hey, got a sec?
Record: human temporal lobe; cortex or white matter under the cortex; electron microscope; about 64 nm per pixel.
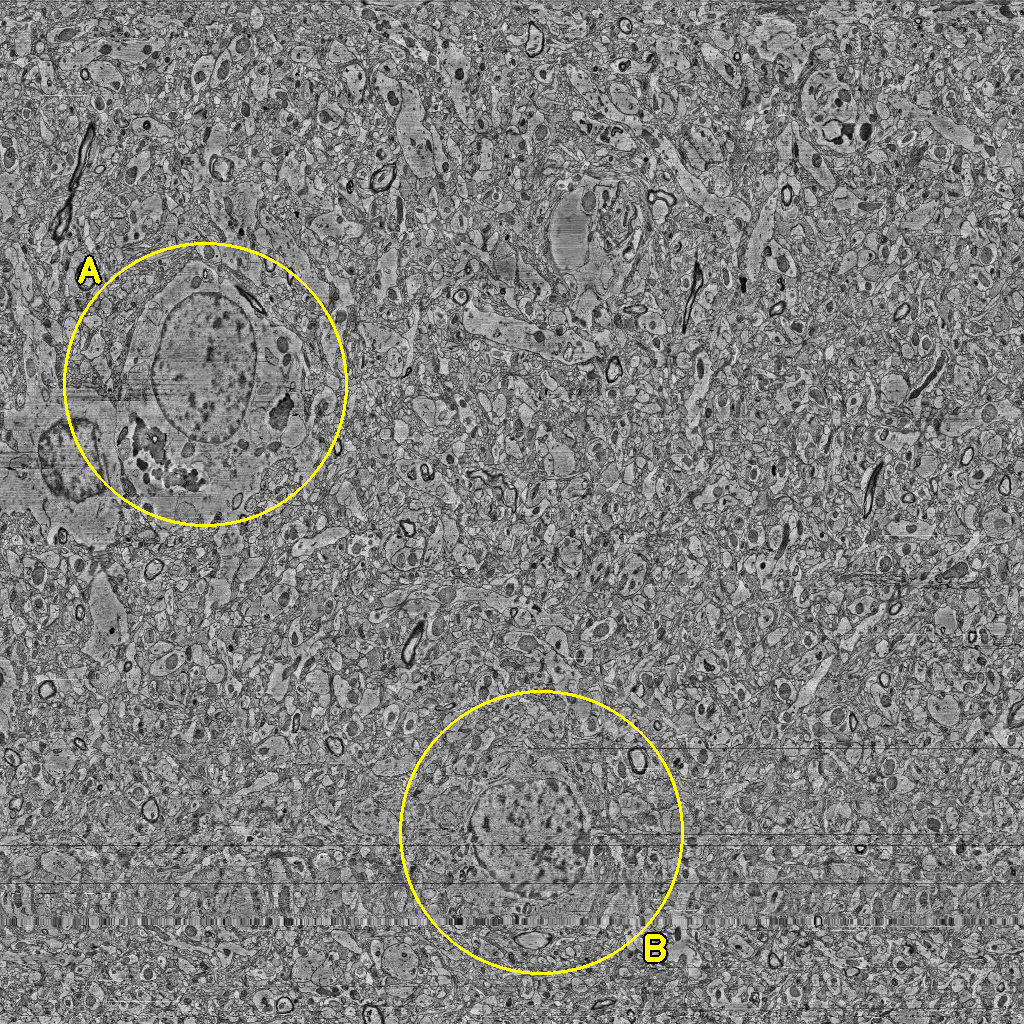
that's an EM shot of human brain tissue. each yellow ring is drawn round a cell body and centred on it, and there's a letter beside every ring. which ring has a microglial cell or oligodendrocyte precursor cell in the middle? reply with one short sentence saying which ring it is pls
Ring B is the one centred on it.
